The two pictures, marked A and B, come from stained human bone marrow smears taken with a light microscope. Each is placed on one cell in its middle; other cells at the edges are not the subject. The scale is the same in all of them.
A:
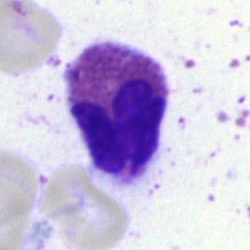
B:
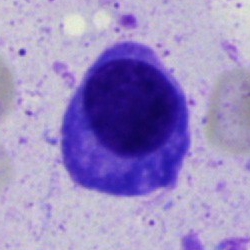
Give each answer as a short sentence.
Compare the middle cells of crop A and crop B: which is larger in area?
The cell in crop B is larger, with about 1.5 times the area of the one in crop A.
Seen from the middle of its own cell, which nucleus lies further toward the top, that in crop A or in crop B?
It is the nucleus in crop B that lies further toward the top of its cell.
